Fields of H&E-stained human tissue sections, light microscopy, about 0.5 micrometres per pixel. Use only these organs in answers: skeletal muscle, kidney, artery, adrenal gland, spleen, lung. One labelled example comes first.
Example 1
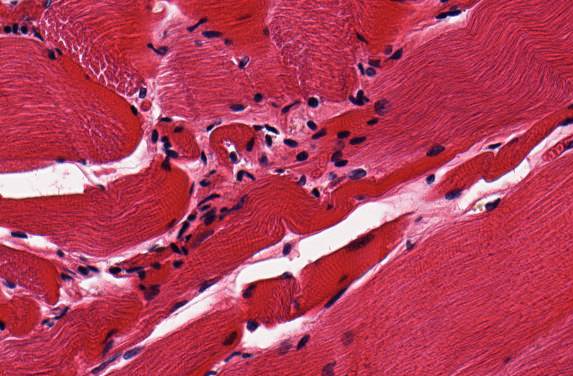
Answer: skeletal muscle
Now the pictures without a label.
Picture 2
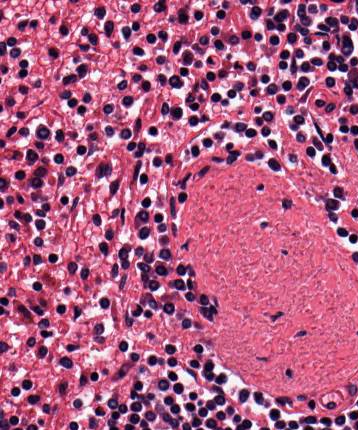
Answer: spleen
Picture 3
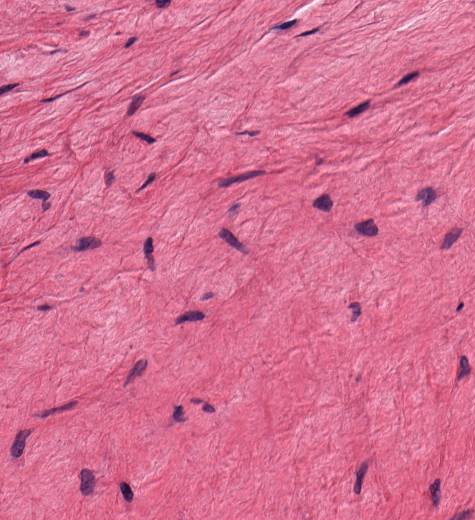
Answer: artery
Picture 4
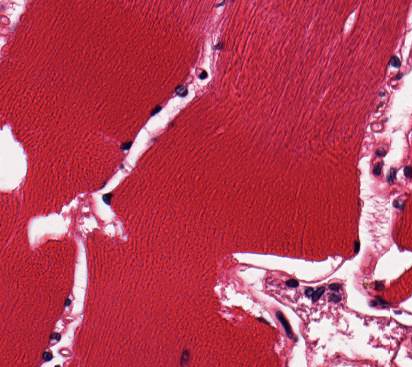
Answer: skeletal muscle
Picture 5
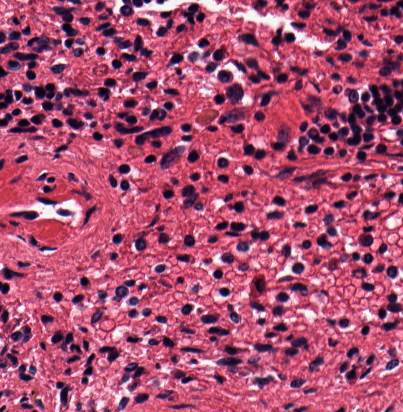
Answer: spleen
